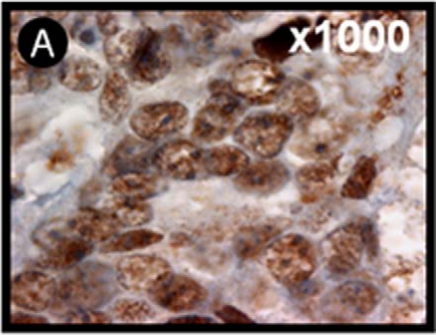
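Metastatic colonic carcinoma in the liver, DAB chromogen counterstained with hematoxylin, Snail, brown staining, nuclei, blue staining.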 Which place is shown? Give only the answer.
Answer: the viable region of the tumor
